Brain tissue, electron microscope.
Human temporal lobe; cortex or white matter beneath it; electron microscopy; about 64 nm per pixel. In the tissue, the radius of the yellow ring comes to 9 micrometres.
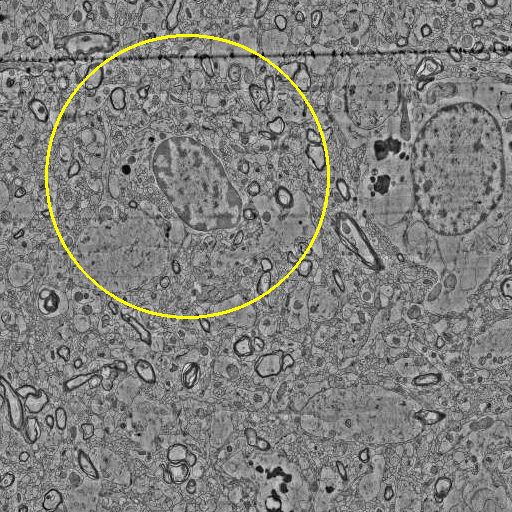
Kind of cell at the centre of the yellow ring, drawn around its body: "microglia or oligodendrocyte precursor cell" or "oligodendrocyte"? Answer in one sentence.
The ring's centre falls on a microglial cell or oligodendrocyte precursor cell.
